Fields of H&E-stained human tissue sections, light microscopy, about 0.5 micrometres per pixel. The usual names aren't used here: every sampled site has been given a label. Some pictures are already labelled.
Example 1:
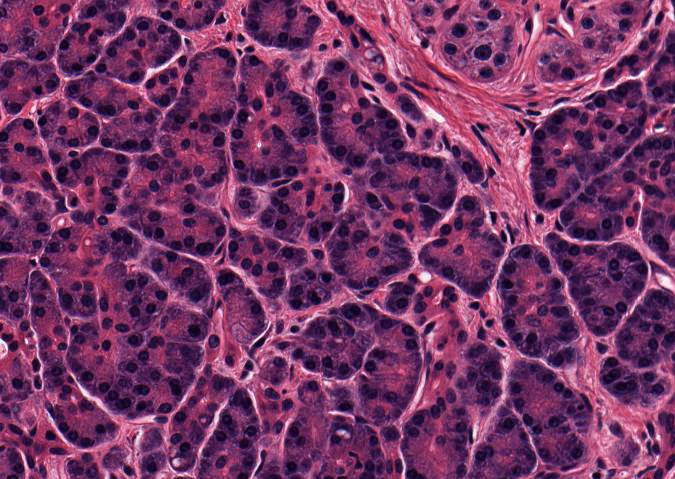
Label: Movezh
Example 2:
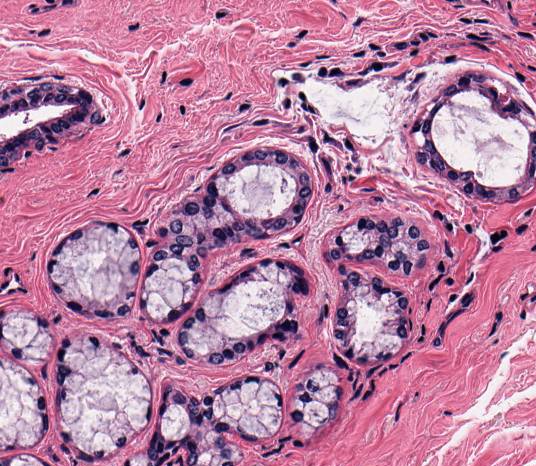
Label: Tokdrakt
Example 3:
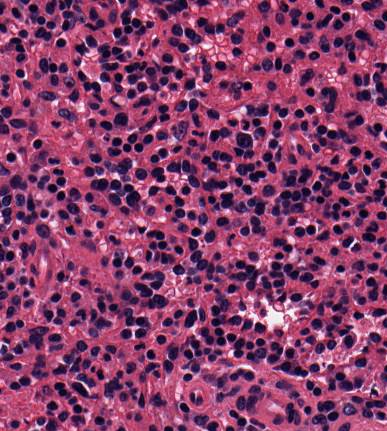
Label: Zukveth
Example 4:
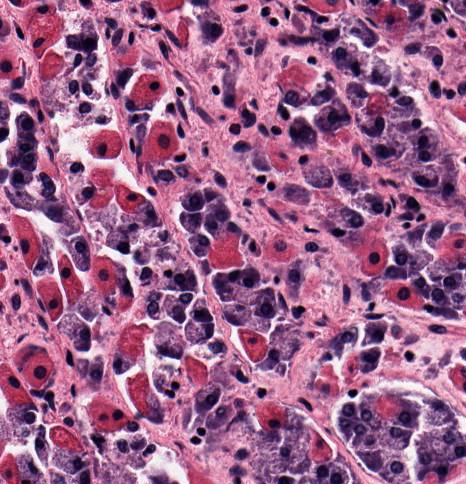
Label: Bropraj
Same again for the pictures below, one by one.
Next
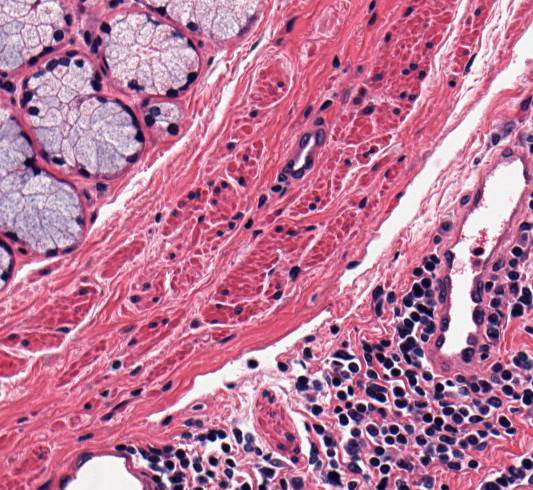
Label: Tokdrakt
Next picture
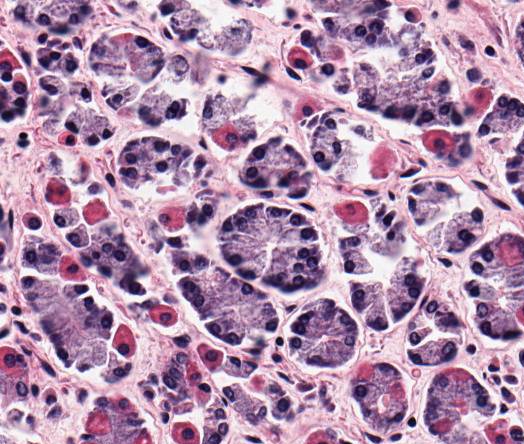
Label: Bropraj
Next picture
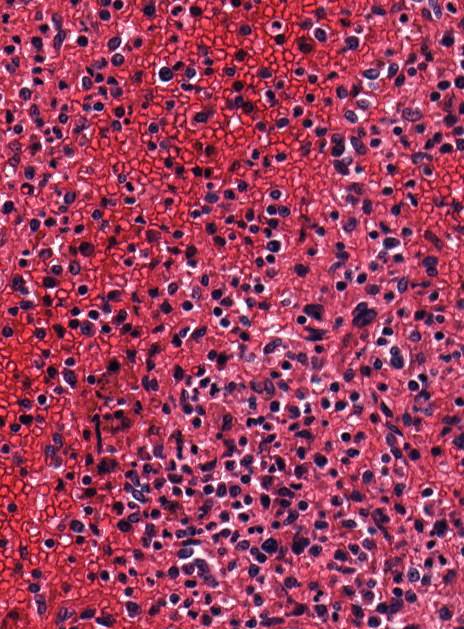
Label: Zukveth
